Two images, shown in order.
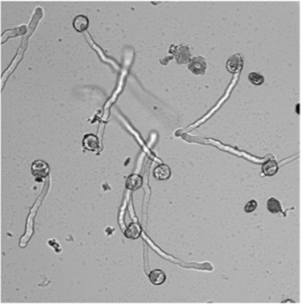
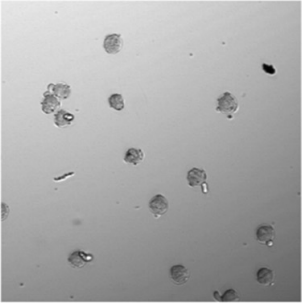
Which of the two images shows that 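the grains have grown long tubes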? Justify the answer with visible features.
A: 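First image: many grains bear long, narrow tubes crossing the field.
The first image.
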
